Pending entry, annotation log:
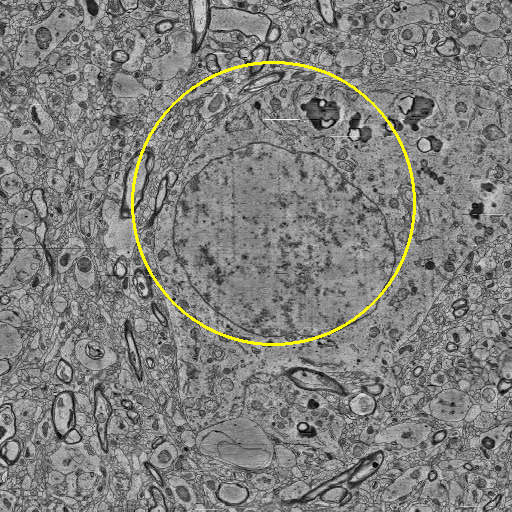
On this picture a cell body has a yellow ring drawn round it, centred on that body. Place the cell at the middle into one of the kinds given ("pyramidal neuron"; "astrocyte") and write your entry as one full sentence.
The cell body at the middle of the yellow ring belongs to a pyramidal neuron.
